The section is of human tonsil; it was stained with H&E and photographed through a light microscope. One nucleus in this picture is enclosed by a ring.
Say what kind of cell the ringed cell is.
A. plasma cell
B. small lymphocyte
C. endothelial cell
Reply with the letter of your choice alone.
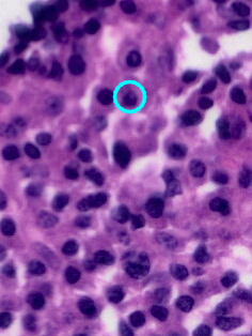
A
